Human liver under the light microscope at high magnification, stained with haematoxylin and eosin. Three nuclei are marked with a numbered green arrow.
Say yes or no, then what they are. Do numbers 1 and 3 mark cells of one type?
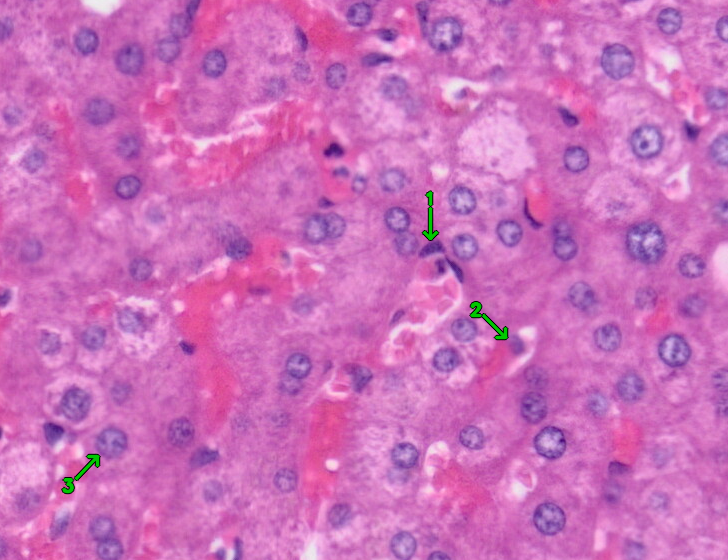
No, cell 1 is a fibroblast or stellate cell and cell 3 is a hepatocyte.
